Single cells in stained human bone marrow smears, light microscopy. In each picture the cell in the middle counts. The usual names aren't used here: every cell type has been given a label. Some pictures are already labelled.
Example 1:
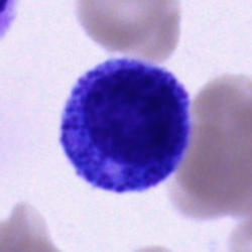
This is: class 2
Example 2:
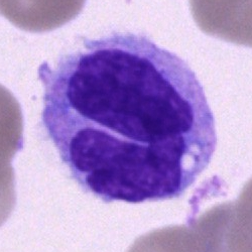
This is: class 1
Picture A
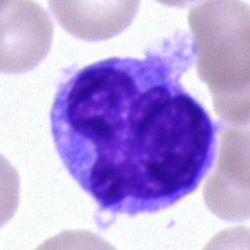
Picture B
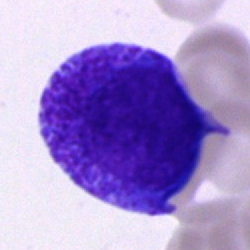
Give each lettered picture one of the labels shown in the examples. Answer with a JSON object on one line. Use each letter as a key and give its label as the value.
{"A": "class 1", "B": "class 2"}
